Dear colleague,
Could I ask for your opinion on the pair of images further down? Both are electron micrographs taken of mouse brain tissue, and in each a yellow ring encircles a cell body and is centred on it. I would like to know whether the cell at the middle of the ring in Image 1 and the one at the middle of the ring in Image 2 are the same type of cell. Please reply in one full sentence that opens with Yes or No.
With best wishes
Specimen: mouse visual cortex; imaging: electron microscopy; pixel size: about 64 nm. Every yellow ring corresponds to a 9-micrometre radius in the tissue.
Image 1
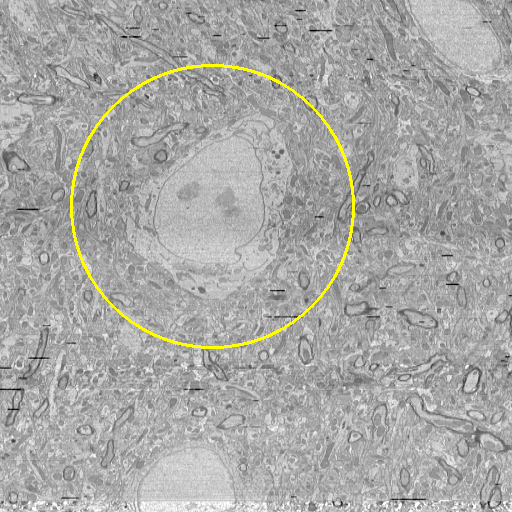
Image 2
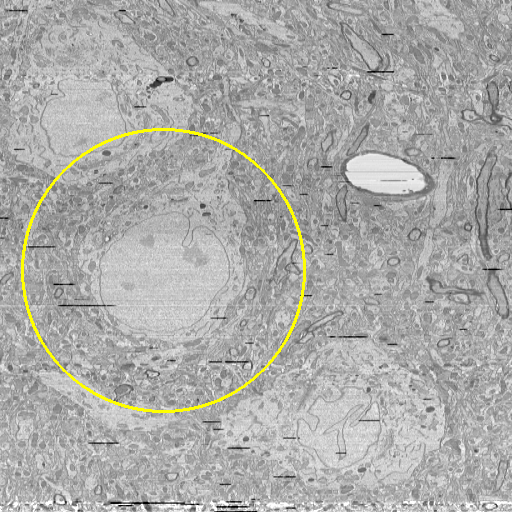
Yes, the cells at the ring centres in Image 1 and Image 2 are of one type.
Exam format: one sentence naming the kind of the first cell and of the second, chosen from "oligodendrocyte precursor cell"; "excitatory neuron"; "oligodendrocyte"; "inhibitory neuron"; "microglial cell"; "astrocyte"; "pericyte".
Both the first and the second picture show an excitatory neuron in the ring.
